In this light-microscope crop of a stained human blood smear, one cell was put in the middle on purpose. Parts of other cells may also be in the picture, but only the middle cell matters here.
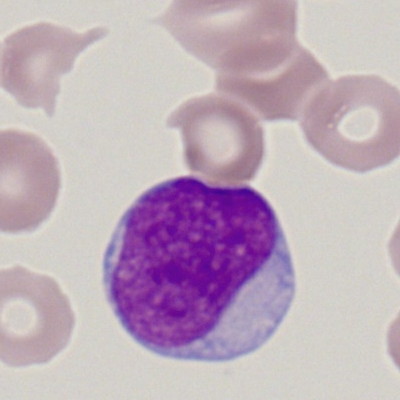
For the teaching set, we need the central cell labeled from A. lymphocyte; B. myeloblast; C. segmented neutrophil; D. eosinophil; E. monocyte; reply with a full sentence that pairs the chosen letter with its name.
In this crop the central cell is a myeloblast, which option B correctly states.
